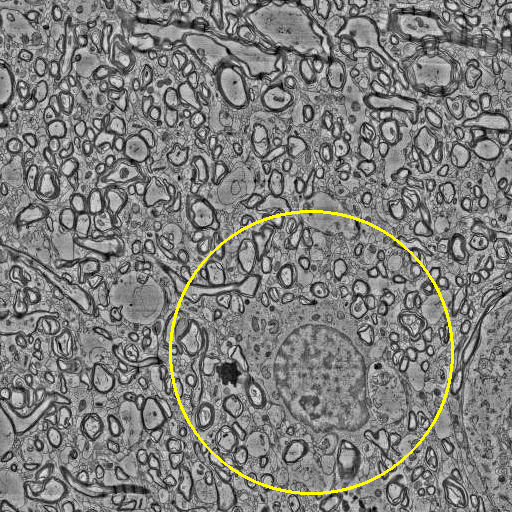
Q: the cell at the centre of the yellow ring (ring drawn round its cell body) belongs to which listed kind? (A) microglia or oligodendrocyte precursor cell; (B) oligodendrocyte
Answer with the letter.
B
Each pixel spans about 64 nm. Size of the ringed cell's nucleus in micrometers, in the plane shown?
In this plane, the nucleus of the cell at the centre of the ring measures about 7 by 6 micrometres.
